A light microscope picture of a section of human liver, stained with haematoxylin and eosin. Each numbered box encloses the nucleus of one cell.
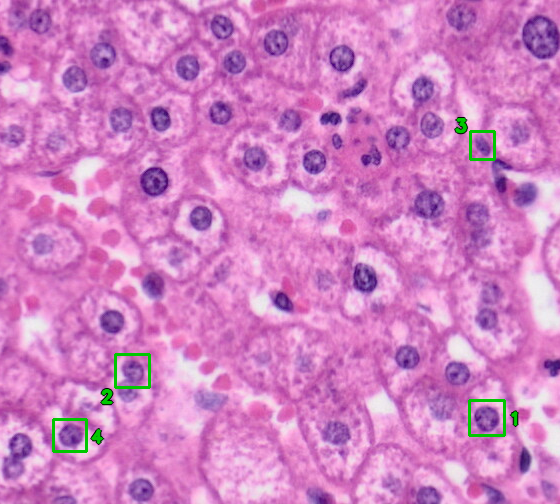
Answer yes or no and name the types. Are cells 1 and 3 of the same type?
No, in contrast to cell 3, which is a fibroblast or stellate cell, cell 1 is a hepatocyte.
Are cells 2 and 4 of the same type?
Yes, cells 2 and 4 are of one type, both being hepatocytes.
